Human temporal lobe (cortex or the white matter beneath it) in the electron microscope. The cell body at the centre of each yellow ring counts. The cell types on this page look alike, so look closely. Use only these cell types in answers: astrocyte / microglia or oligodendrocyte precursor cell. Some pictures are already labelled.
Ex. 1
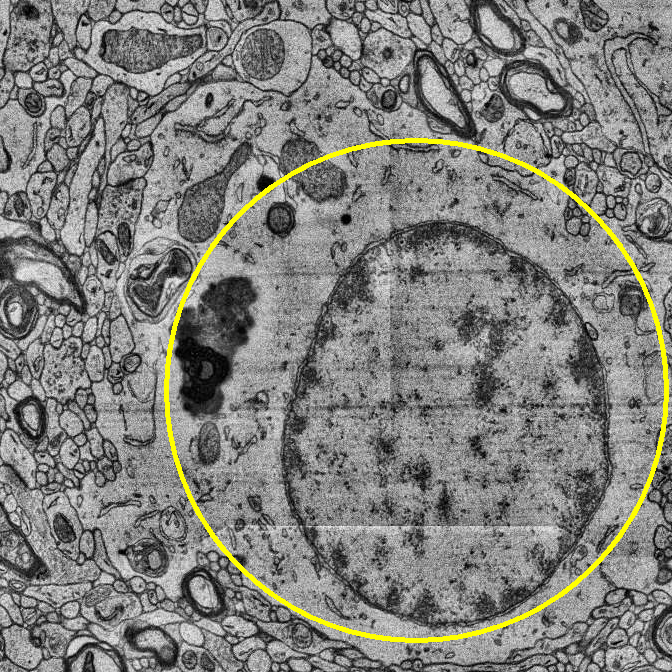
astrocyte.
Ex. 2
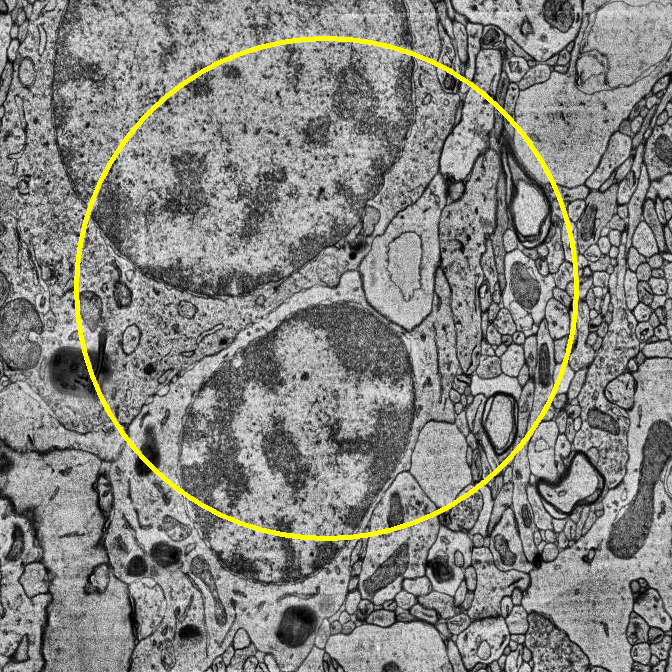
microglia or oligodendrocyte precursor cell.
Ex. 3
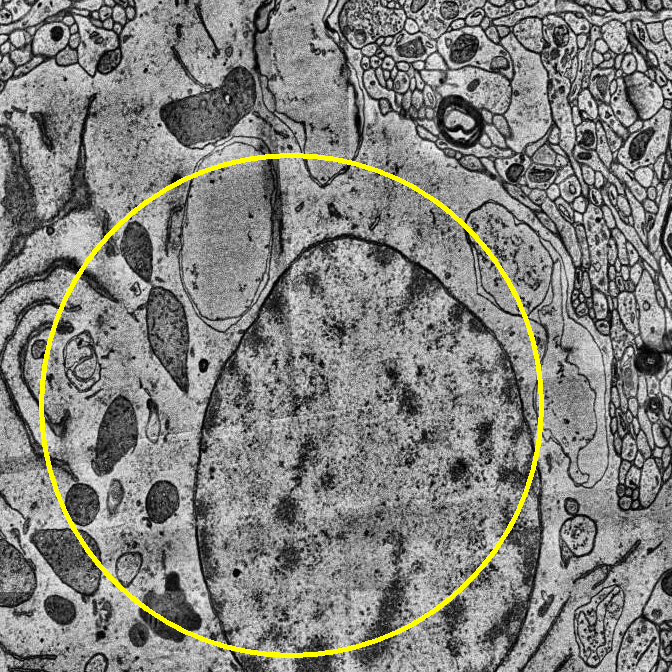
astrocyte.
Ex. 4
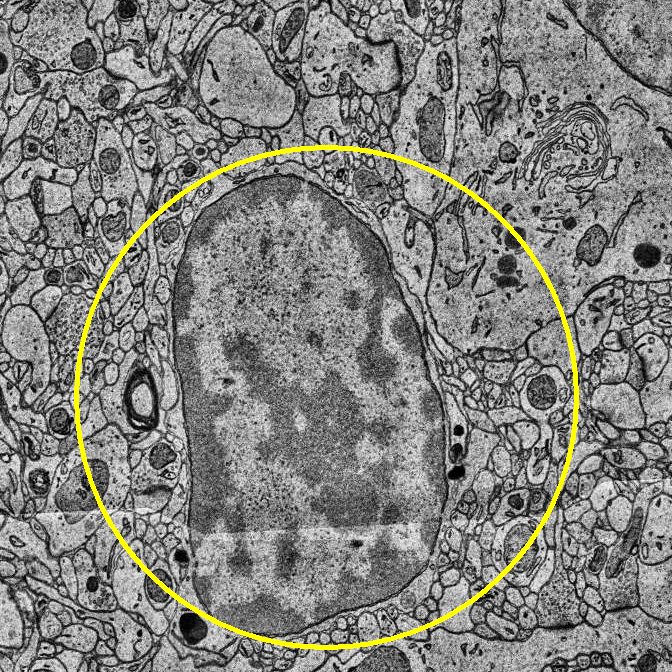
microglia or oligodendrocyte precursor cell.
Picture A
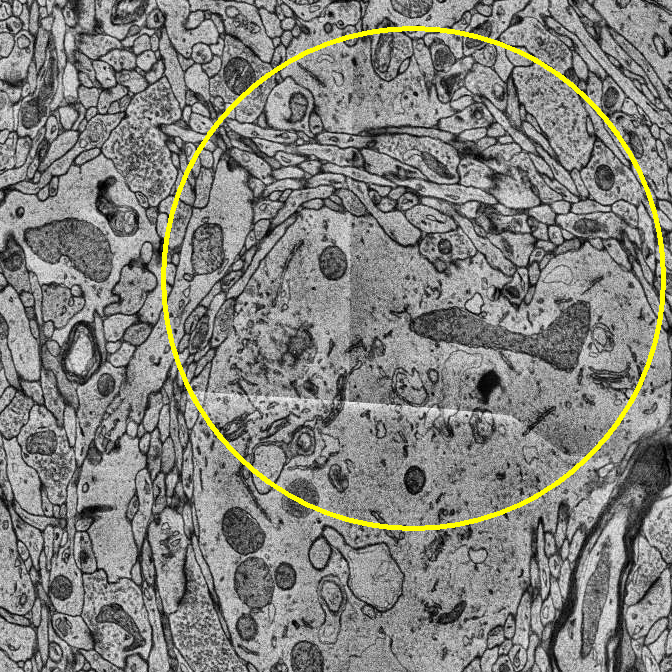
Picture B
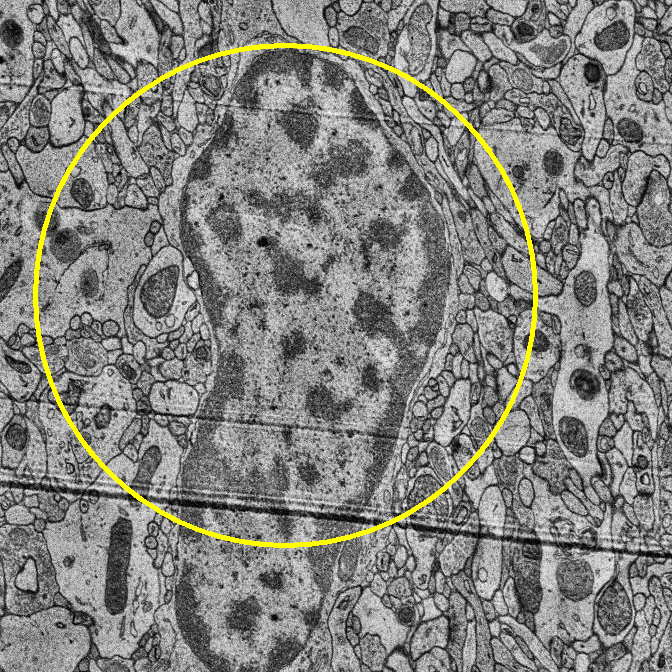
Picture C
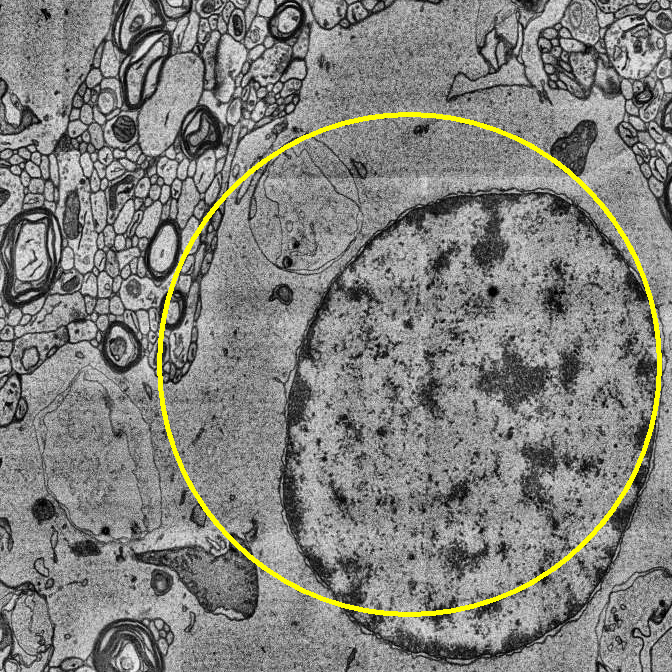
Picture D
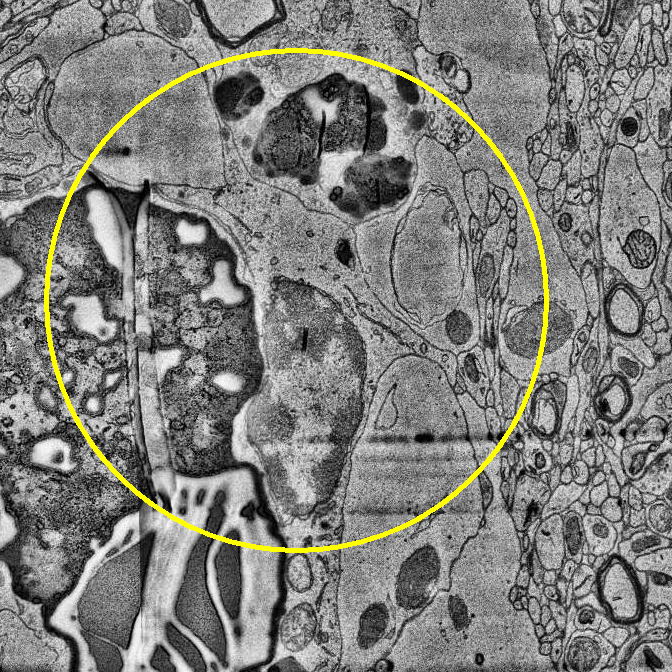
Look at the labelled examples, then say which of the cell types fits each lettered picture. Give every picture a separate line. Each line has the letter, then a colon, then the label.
A: astrocyte.
B: microglia or oligodendrocyte precursor cell.
C: astrocyte.
D: microglia or oligodendrocyte precursor cell.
